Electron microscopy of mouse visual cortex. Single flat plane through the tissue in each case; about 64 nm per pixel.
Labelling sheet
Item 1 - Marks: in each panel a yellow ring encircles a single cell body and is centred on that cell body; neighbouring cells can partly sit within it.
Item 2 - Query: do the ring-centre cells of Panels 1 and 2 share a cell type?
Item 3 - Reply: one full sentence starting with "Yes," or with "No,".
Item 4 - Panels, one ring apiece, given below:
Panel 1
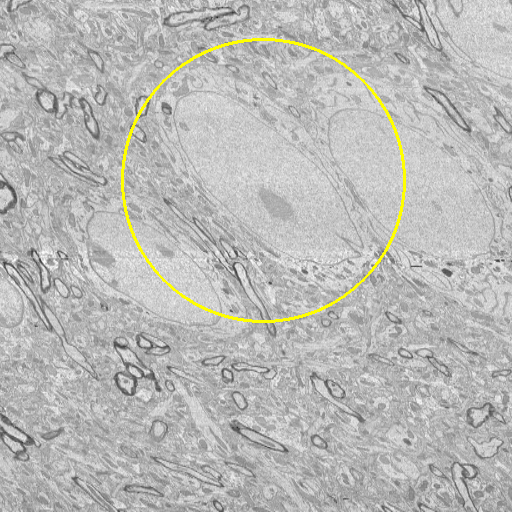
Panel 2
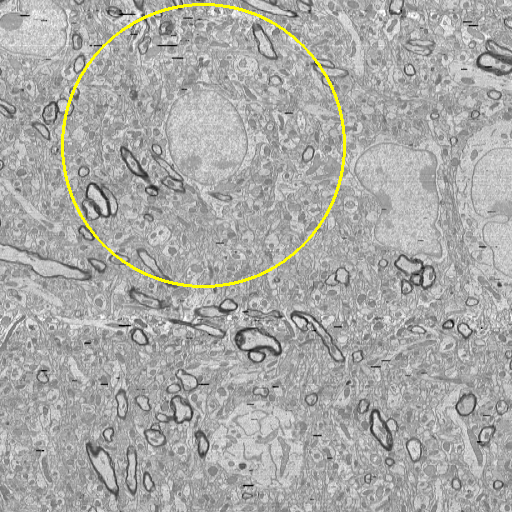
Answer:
No, Panel 1 and Panel 2 show two cell types at the centres of their rings.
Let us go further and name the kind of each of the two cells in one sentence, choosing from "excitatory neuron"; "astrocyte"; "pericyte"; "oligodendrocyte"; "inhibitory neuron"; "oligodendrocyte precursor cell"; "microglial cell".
The ring of the first picture is on an excitatory neuron, the ring of the second on an astrocyte.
